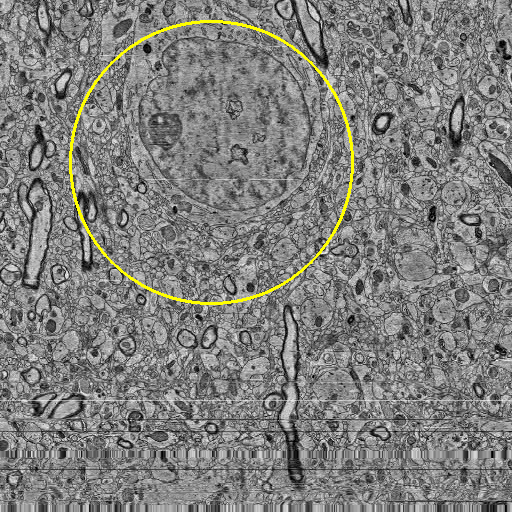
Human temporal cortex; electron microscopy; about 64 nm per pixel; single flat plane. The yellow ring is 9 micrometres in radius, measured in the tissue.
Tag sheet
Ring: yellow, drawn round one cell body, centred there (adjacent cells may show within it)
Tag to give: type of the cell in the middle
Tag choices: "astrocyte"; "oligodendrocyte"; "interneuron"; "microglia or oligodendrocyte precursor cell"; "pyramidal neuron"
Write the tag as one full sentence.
I tag the cell centred in the yellow ring as an interneuron in this picture.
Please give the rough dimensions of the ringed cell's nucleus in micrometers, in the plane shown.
Roughly 11 micrometres across for the nucleus, in this plane.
